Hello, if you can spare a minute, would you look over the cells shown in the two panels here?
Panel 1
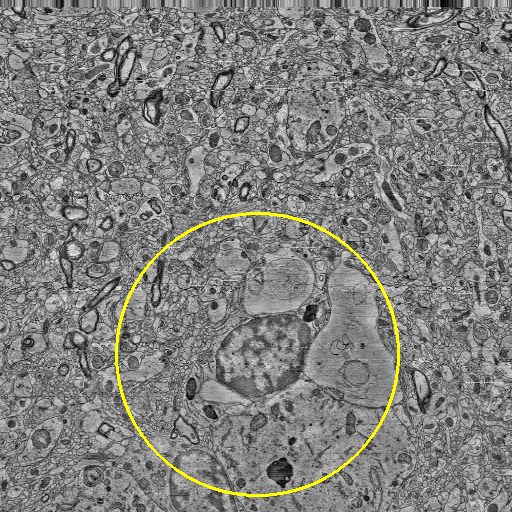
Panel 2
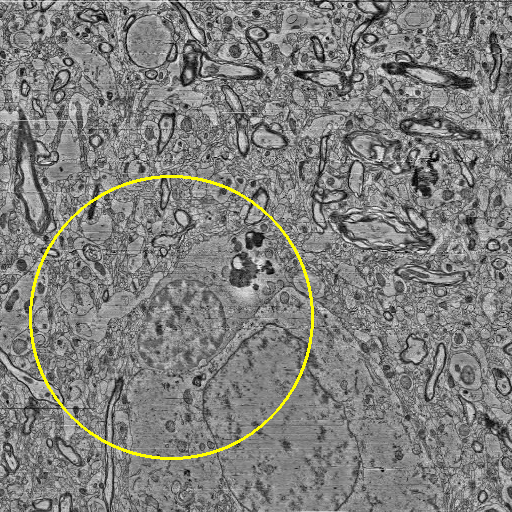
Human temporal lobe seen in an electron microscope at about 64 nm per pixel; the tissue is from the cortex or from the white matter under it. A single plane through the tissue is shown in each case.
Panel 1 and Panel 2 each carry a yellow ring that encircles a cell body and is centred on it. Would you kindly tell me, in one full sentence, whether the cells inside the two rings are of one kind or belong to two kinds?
The cells at the centres of the rings in Panel 1 and Panel 2 belong to two kinds.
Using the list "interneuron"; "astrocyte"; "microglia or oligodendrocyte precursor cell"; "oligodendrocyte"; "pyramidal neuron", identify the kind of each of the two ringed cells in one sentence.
The first is a microglial cell or oligodendrocyte precursor cell and the second is an oligodendrocyte.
